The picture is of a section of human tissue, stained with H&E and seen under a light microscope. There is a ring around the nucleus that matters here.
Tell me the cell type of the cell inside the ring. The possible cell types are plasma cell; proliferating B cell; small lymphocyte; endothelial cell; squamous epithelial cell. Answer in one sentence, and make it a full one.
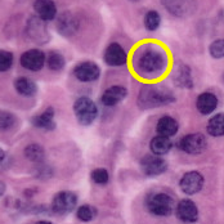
What the cell inside the ring represents is a plasma cell.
